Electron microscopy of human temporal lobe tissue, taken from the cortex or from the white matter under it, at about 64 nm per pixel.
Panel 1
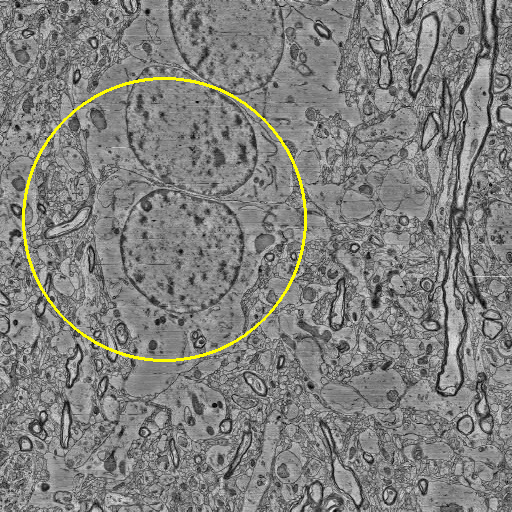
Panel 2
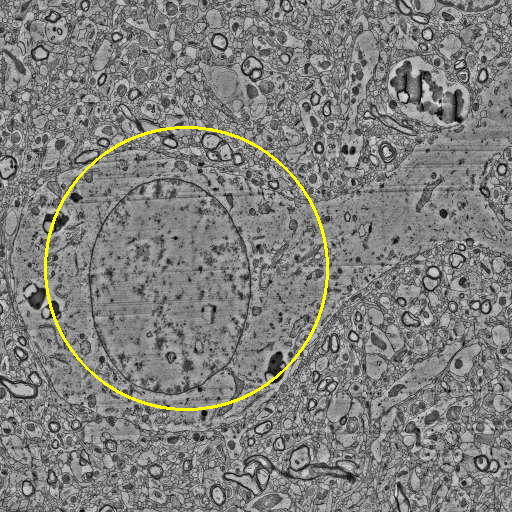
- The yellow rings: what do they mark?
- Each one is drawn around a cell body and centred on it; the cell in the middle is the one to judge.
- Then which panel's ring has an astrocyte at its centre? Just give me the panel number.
1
